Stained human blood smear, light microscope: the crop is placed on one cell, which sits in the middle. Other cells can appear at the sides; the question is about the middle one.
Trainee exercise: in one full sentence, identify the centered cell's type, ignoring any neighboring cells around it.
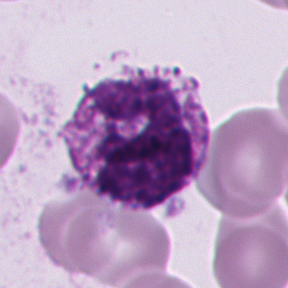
In short, the cell at the center is a basophil.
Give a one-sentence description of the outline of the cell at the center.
The periphery of this cell is uneven, with ragged portions or projections.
